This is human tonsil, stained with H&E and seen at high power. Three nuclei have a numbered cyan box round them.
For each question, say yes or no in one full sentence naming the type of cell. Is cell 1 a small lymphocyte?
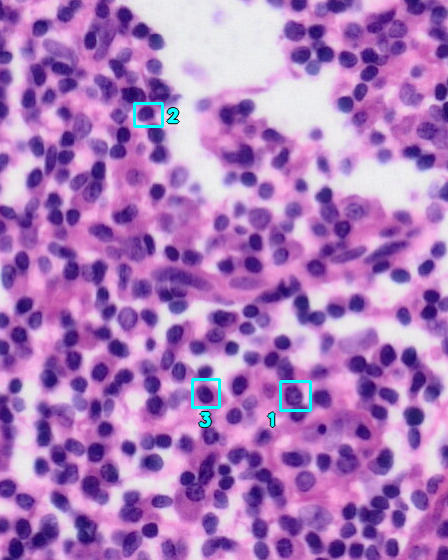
No, a small lymphocyte is not what cell 1 is; it is a plasma cell.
